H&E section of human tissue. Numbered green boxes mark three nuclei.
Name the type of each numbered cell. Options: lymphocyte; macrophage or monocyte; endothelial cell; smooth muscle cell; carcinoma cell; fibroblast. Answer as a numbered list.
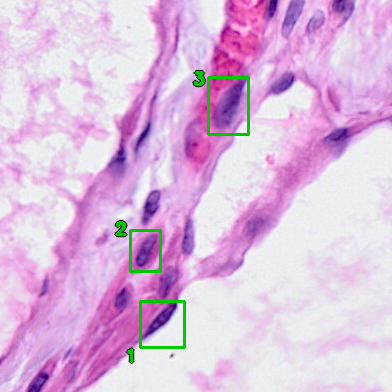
1. endothelial cell
2. smooth muscle cell
3. endothelial cell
